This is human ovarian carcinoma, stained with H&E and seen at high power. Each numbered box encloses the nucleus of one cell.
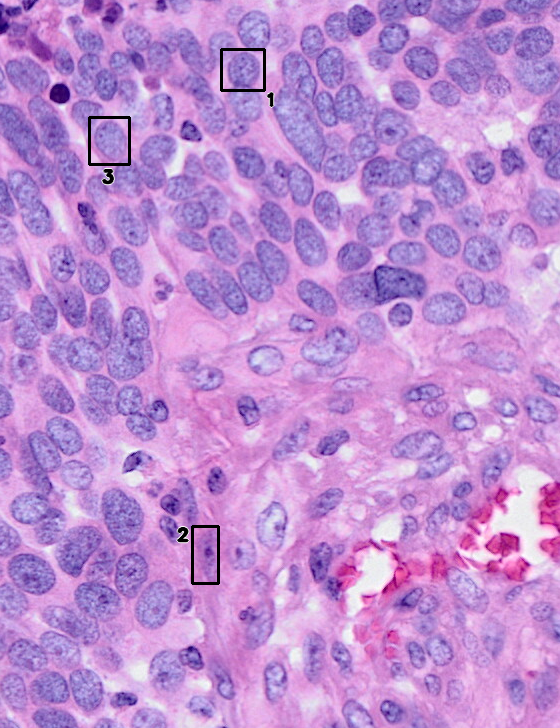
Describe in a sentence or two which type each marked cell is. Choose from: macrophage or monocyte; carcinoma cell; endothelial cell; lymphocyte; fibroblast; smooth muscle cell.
Cell 1 is a carcinoma cell, cell 2 is a fibroblast and cell 3 is a carcinoma cell.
